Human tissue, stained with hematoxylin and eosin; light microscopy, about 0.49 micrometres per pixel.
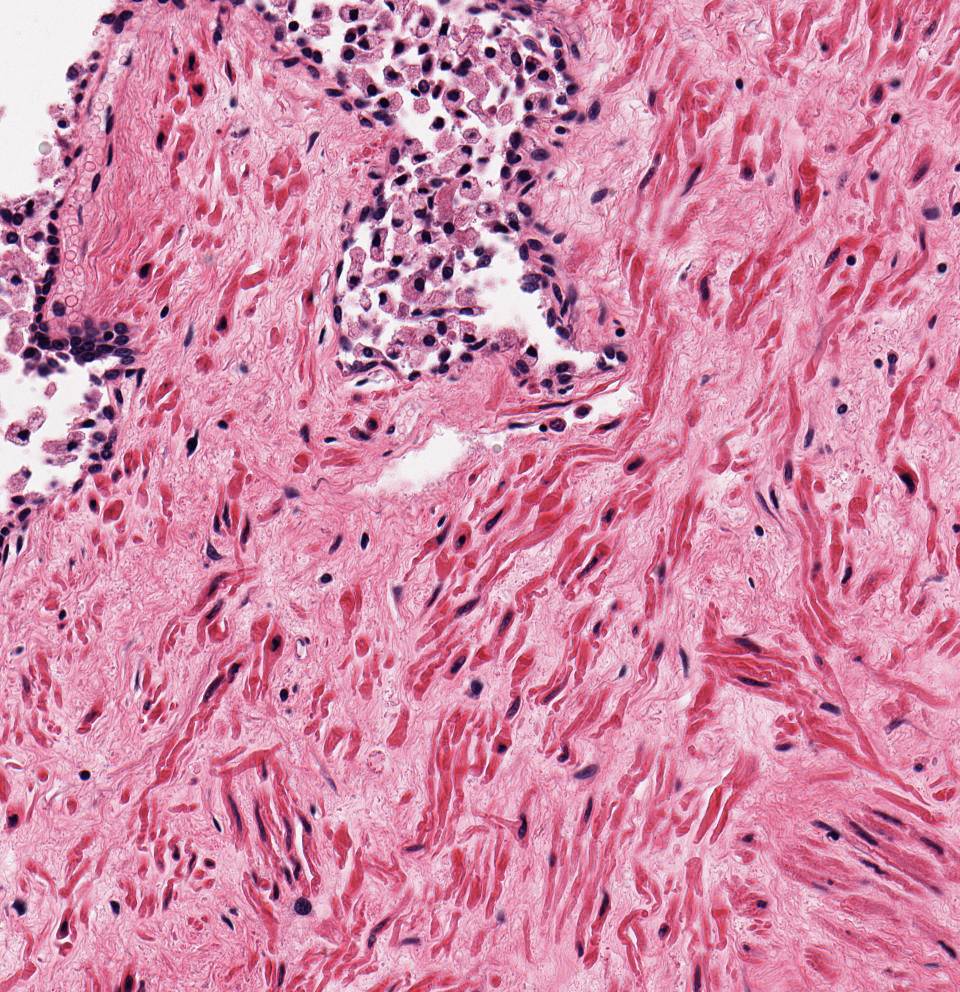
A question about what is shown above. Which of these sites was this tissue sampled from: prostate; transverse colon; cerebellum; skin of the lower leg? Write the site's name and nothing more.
prostate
